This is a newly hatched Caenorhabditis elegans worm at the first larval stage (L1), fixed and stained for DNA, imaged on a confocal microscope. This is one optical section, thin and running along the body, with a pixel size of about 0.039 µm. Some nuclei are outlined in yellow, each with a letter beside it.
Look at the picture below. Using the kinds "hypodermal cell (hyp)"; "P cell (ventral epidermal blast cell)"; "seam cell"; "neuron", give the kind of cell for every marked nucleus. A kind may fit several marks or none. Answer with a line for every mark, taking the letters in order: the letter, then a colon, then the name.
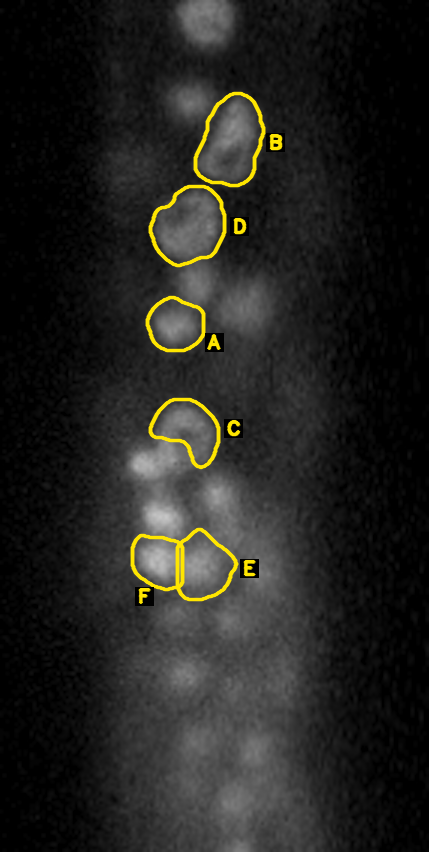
A: neuron
B: hypodermal cell (hyp)
C: seam cell
D: hypodermal cell (hyp)
E: neuron
F: neuron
